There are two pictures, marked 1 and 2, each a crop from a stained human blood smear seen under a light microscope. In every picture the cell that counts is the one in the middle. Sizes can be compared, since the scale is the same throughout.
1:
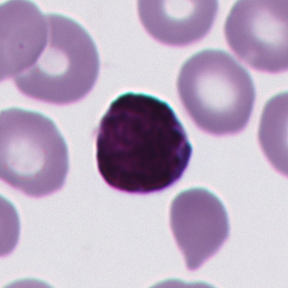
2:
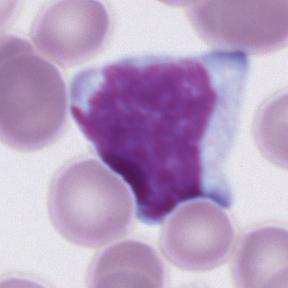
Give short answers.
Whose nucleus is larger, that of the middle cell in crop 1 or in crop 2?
2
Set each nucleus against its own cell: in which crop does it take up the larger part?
1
